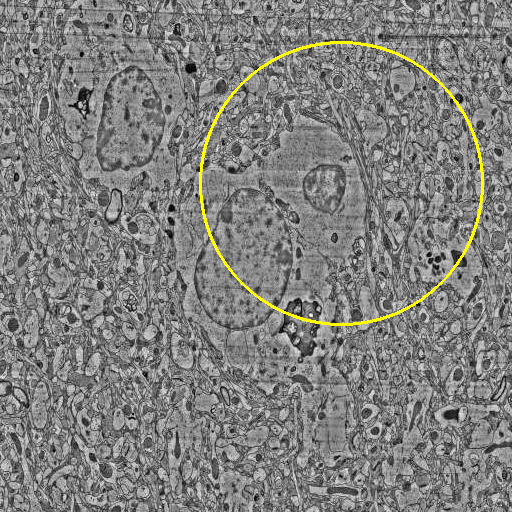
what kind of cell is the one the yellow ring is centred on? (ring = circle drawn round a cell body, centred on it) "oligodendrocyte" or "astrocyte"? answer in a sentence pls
The ring is drawn around an astrocyte.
